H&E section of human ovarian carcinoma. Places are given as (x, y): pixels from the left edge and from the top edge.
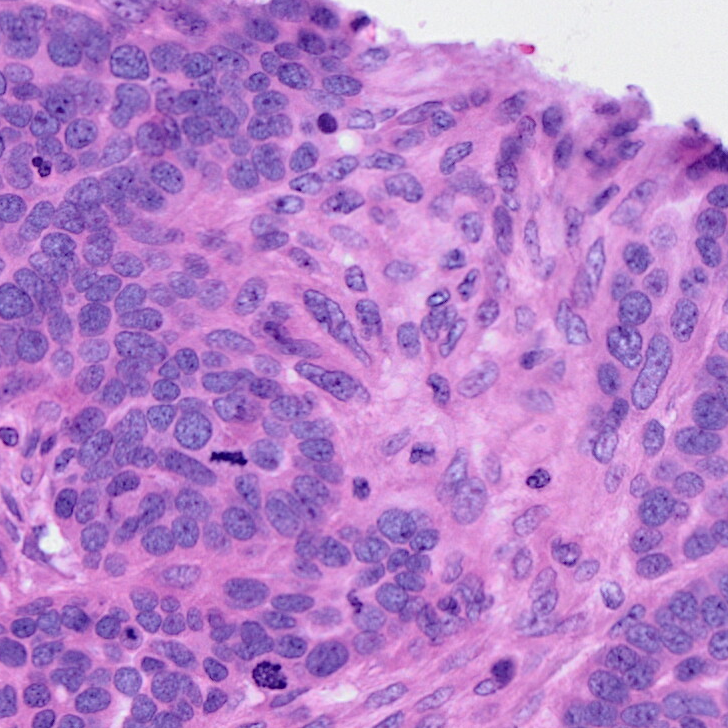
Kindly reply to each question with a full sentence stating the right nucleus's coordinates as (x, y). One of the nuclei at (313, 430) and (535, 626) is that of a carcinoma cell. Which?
Of the two, the nucleus lying at (313, 430) is the one belonging to a carcinoma cell.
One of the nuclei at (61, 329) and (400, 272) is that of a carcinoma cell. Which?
The nucleus whose position is (61, 329) belongs to a carcinoma cell.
